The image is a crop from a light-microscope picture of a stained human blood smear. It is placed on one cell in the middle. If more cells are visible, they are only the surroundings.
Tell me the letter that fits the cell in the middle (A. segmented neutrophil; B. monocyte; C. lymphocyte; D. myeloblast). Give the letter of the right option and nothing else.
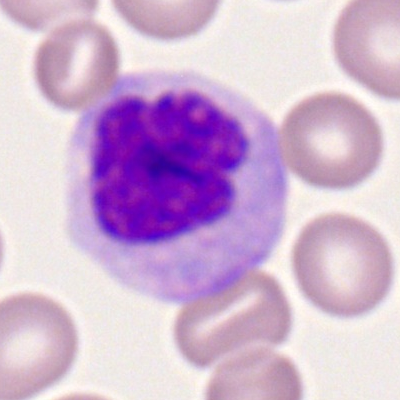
B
